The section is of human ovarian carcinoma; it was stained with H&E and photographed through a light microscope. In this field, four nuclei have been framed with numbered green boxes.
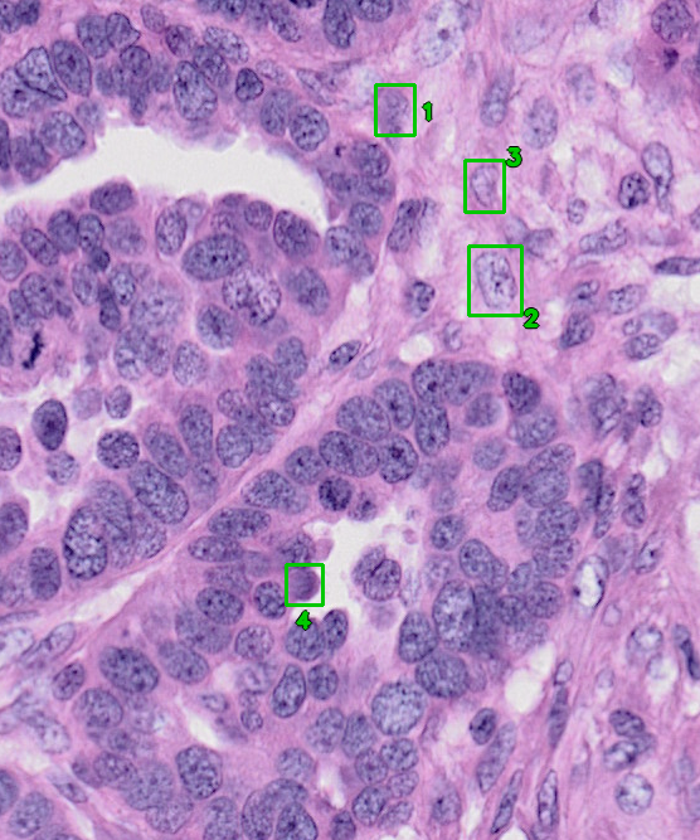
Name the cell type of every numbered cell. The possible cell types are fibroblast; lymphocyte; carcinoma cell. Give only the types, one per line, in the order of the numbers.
fibroblast
fibroblast
fibroblast
carcinoma cell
